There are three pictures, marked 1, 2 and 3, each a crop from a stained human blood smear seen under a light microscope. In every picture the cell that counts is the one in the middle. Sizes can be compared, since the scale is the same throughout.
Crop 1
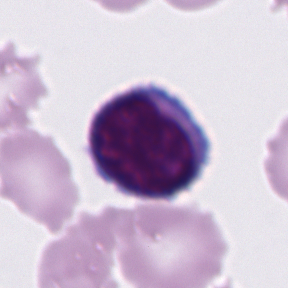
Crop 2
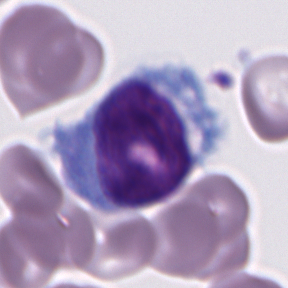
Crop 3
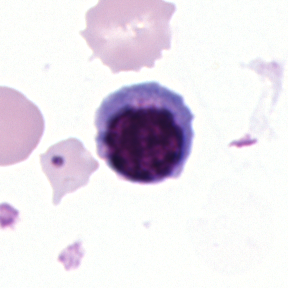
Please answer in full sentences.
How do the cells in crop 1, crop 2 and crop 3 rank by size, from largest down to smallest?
From the largest down, the order is 2, 1, 3.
